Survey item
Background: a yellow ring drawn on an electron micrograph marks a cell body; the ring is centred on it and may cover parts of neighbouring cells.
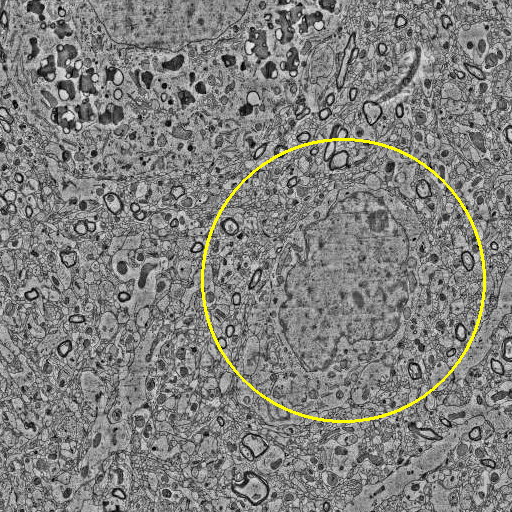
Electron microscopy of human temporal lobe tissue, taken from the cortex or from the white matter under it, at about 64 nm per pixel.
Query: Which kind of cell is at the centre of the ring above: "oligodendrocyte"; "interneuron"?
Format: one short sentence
The cell in the middle of the ring is an interneuron.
